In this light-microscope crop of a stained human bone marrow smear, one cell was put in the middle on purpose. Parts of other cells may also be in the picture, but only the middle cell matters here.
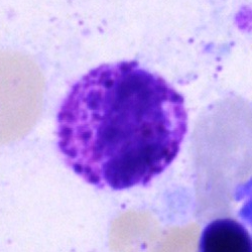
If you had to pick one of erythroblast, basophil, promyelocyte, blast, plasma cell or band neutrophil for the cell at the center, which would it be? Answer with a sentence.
On this slide crop, the central cell is a basophil.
